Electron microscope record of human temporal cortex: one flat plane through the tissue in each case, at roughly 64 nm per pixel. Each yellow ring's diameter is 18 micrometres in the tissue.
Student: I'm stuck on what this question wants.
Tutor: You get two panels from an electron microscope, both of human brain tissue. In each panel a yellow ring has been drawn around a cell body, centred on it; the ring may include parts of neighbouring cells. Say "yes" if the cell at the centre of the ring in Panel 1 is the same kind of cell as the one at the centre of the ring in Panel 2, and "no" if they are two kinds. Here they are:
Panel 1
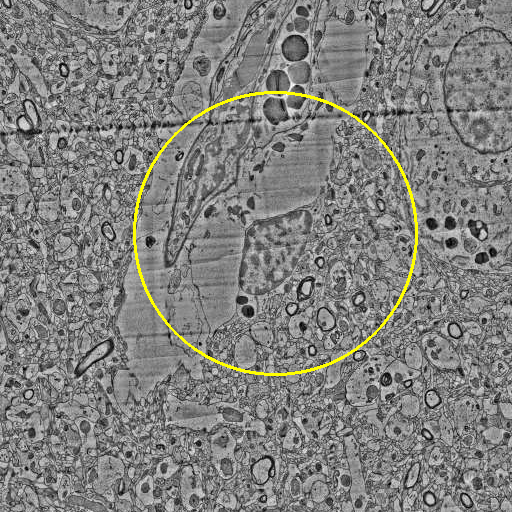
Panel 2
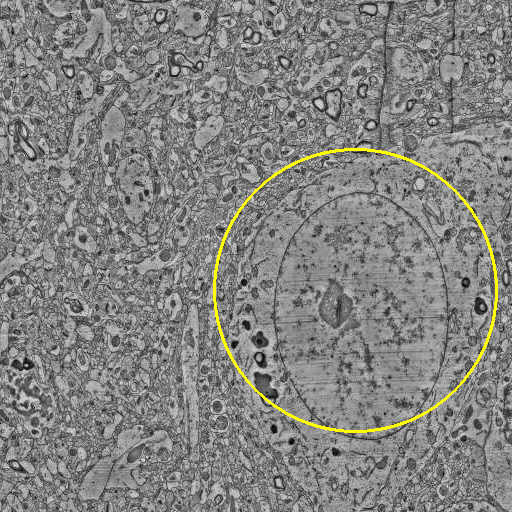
no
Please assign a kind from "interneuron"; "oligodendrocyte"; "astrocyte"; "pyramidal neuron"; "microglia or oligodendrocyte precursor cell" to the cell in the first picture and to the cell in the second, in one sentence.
In the first picture we have a microglial cell or oligodendrocyte precursor cell, and in the second, a pyramidal neuron.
